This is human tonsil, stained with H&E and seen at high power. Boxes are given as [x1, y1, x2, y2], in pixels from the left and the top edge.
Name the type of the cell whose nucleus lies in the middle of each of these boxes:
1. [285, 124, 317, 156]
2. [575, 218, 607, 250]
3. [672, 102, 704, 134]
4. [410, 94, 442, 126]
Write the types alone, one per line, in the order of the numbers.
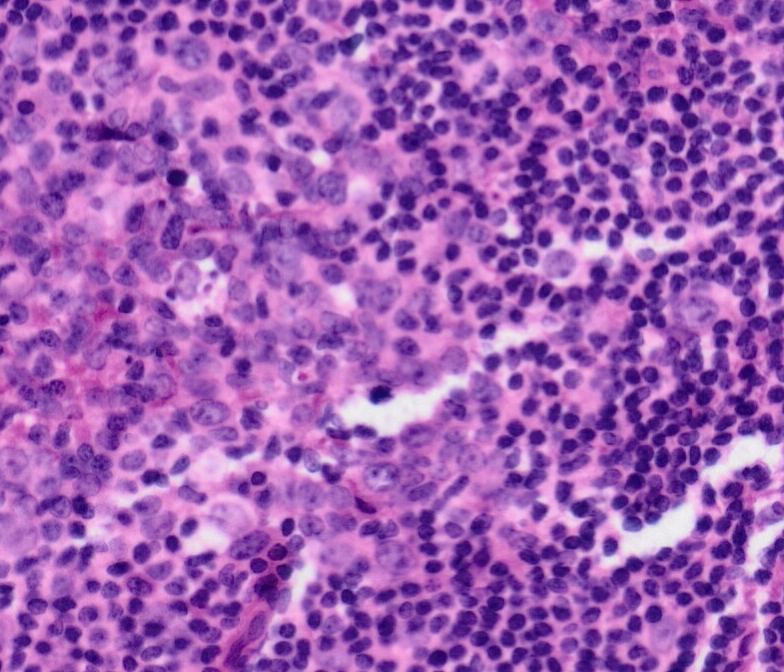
proliferating B cell
small lymphocyte
small lymphocyte
small lymphocyte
